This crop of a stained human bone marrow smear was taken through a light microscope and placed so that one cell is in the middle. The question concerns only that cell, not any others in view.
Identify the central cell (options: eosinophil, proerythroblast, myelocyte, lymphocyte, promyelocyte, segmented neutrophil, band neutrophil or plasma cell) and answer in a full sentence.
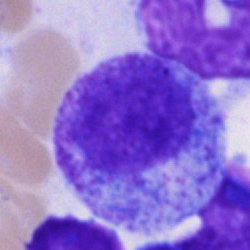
By classification, the middle cell of this crop is a promyelocyte.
